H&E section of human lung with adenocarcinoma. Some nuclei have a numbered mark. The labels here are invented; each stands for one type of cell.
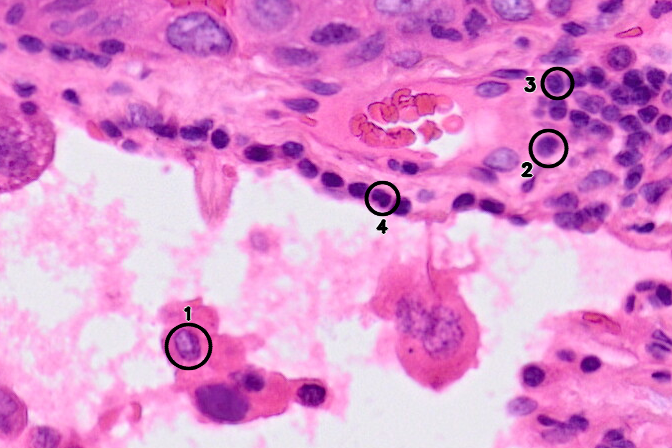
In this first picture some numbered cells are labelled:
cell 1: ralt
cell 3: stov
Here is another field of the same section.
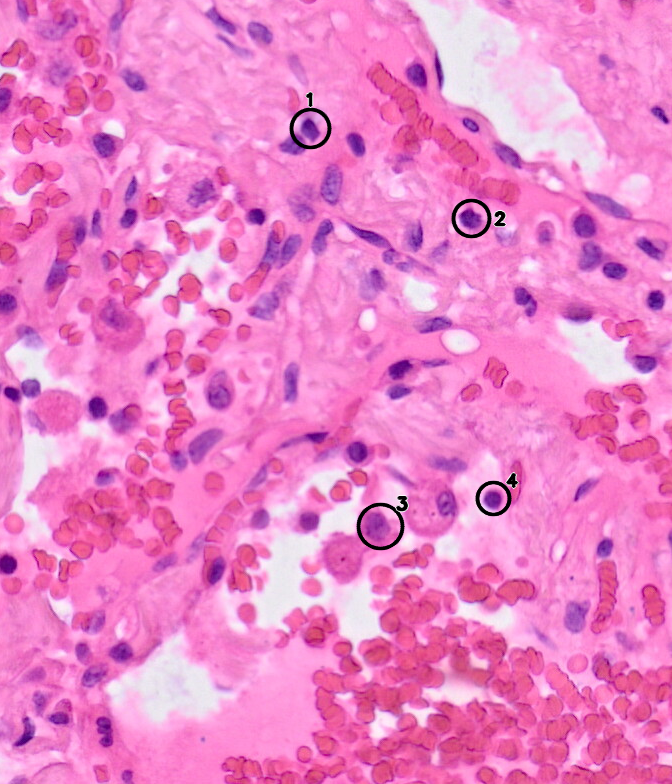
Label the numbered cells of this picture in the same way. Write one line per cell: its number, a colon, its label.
1: stov
2: stov
3: ralt
4: stov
